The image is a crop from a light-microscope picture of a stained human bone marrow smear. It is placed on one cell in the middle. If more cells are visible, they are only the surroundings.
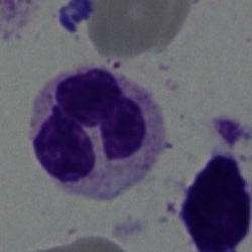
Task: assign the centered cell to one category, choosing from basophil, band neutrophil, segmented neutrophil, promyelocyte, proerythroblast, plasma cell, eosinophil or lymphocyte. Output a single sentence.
The cell shown in the center of this light-microscope crop is a segmented neutrophil.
